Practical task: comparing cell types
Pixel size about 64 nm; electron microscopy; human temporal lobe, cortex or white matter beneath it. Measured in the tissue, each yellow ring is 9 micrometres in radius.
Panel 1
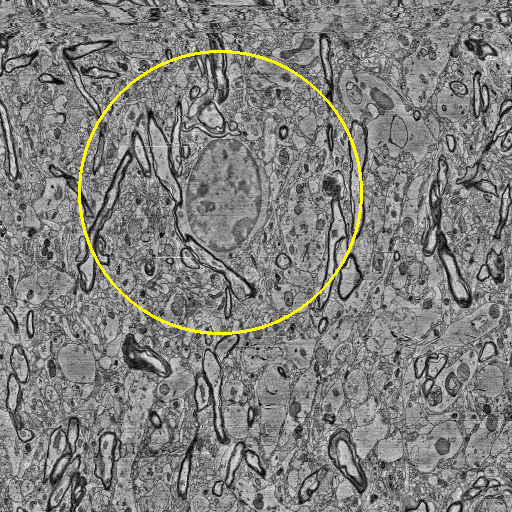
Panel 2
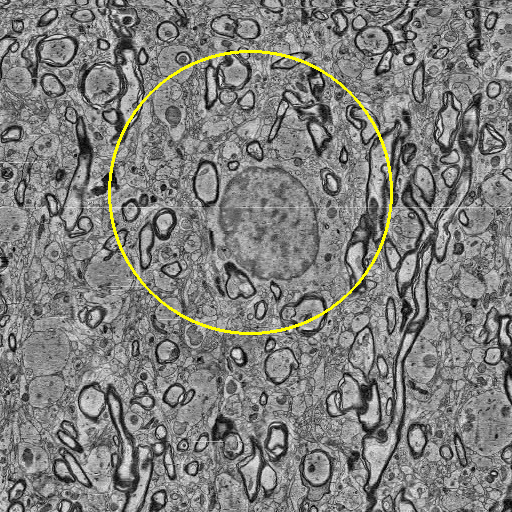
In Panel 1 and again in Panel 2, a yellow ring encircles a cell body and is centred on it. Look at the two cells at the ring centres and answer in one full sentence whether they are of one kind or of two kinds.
The two cells sitting at the ring centres of Panels 1 and 2 are of one kind.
